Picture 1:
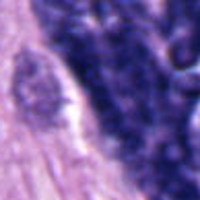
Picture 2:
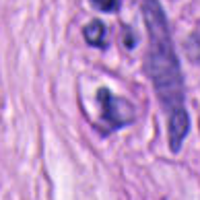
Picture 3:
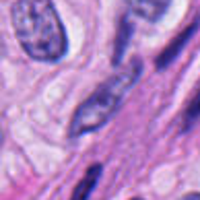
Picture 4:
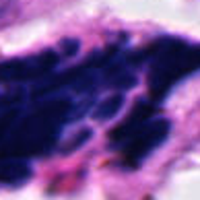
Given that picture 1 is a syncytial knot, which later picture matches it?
4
